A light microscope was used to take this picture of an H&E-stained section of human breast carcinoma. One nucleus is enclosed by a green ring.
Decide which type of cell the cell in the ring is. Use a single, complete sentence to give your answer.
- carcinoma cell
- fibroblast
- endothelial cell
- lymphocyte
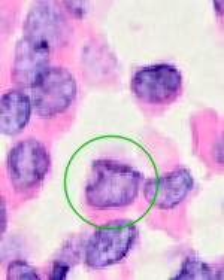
For the purposes of cell typing, the cell in the ring is categorized as a carcinoma cell.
